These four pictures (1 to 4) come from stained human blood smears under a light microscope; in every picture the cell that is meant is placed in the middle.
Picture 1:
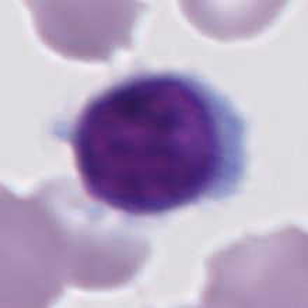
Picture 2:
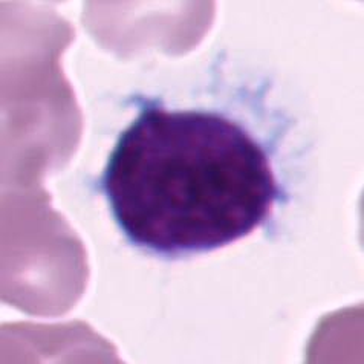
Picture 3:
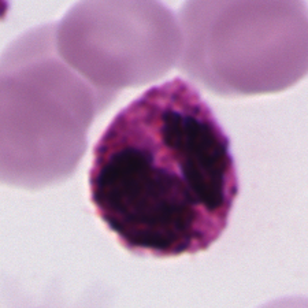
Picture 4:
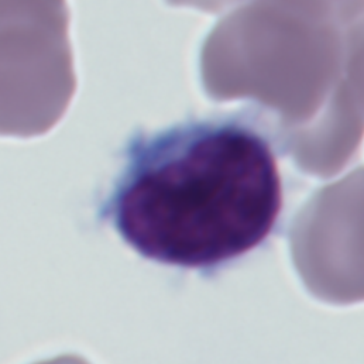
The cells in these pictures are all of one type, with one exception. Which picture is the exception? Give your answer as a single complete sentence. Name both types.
All pictures except 3 show hairy cells; picture 3 shows a basophil.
